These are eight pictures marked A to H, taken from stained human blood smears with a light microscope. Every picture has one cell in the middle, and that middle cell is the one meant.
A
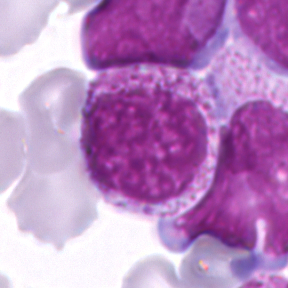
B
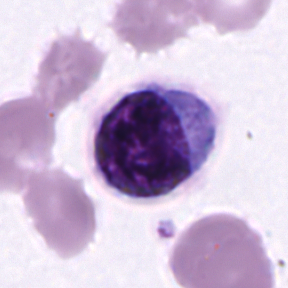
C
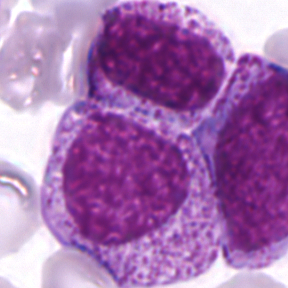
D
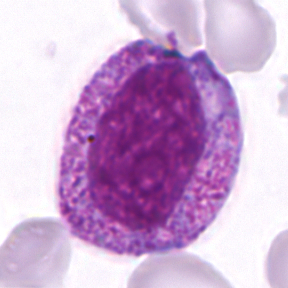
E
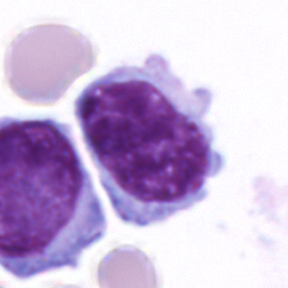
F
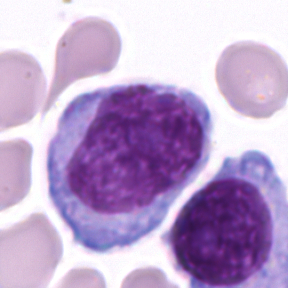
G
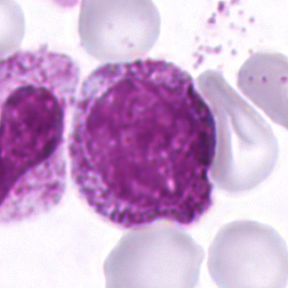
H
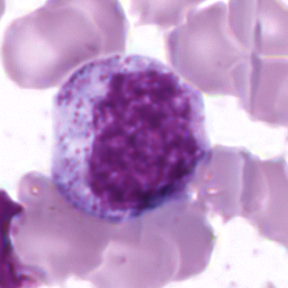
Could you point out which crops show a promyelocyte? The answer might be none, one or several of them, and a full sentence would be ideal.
Crop D stands alone as the crop containing a promyelocyte.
